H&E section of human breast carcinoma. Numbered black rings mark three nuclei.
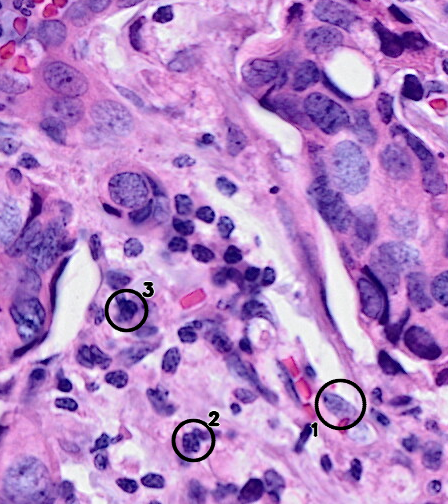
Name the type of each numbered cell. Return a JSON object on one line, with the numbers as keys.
{"1": "endothelial cell", "2": "lymphocyte", "3": "lymphocyte"}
